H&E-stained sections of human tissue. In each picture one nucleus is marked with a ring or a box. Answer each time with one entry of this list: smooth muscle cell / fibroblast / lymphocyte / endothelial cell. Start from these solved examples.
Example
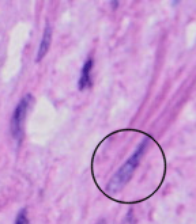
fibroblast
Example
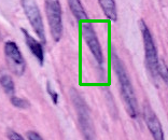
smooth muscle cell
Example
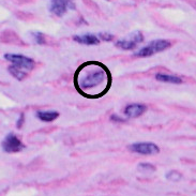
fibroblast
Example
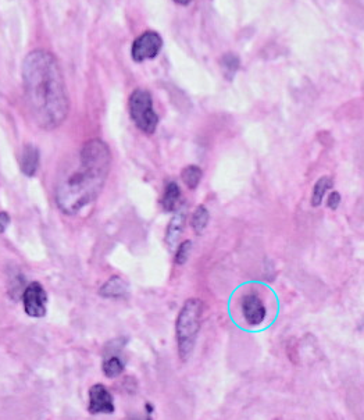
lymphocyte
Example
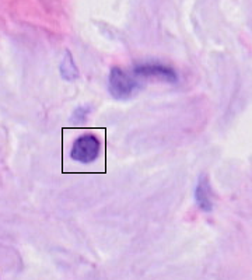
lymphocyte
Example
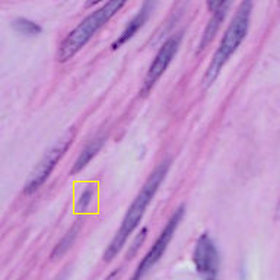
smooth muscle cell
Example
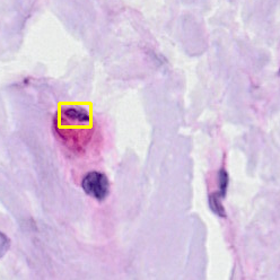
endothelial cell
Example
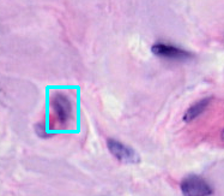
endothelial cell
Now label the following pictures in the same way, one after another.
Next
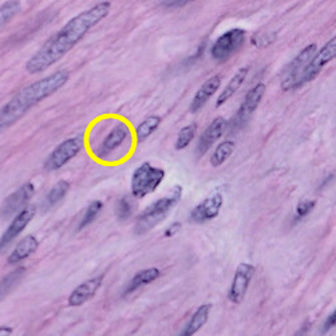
smooth muscle cell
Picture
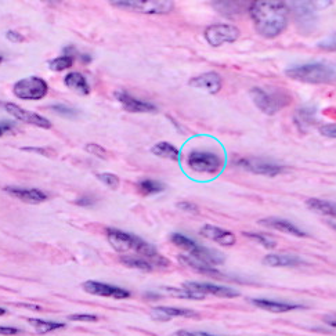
lymphocyte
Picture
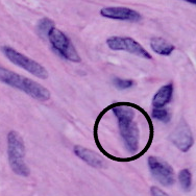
fibroblast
